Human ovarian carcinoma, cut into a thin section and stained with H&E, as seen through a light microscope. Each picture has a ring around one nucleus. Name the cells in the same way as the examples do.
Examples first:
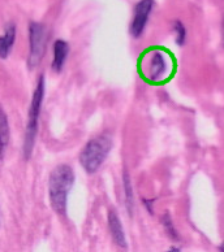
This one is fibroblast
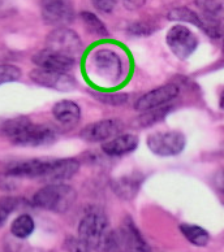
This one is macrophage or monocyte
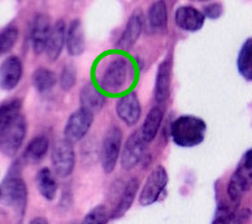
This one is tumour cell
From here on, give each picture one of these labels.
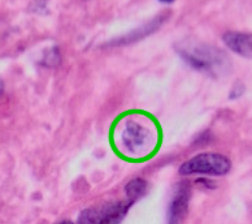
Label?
macrophage or monocyte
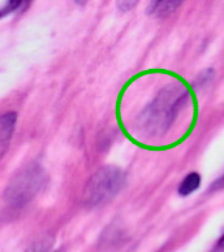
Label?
fibroblast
